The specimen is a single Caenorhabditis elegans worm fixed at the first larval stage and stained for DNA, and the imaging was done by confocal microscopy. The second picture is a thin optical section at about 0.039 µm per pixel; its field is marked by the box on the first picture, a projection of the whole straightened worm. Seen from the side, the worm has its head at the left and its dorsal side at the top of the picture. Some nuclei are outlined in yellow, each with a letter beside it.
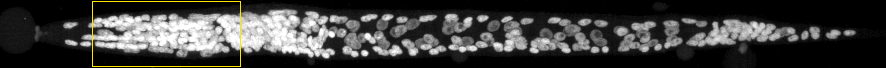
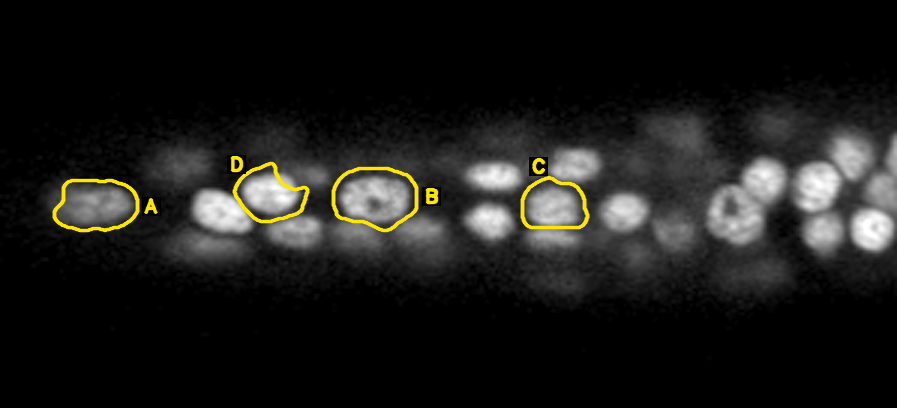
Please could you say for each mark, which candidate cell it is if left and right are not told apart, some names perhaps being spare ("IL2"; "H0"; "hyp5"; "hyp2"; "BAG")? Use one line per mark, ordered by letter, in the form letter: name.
A: hyp5
B: H0
C: IL2
D: hyp2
